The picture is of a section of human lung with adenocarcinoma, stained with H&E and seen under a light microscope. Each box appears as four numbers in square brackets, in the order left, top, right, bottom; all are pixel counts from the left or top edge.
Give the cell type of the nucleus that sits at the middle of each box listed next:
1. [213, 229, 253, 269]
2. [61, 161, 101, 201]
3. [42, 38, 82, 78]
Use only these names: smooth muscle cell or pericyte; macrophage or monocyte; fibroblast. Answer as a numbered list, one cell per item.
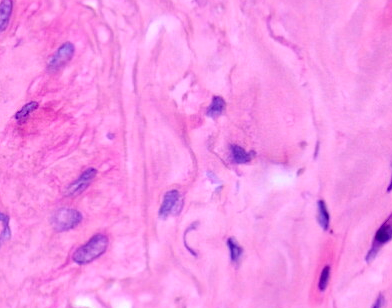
1. fibroblast
2. smooth muscle cell or pericyte
3. smooth muscle cell or pericyte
